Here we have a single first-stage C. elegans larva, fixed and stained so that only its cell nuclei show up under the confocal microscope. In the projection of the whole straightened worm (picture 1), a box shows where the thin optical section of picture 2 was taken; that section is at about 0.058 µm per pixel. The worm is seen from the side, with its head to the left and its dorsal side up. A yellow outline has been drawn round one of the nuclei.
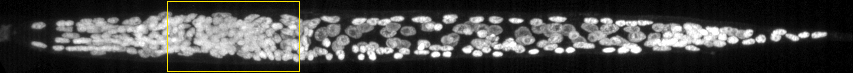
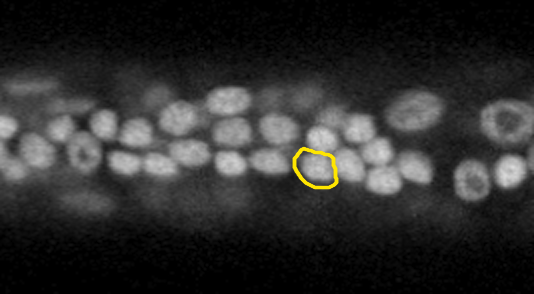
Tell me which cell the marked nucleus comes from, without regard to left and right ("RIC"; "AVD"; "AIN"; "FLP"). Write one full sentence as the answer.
The marked cell is RIC, a neuron.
